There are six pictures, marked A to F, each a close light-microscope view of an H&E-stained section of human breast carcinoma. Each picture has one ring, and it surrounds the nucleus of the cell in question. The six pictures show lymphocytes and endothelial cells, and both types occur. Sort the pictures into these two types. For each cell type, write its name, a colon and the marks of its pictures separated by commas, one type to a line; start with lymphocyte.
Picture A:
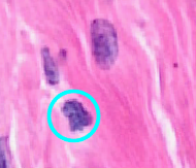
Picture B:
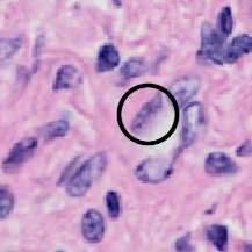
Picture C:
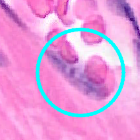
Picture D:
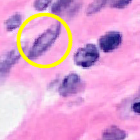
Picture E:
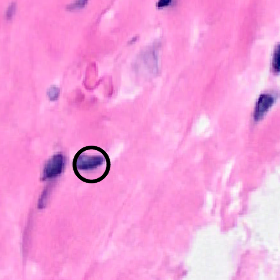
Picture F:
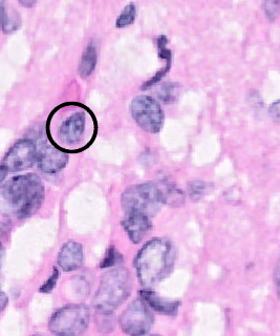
lymphocyte: A, E
endothelial cell: B, C, D, F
